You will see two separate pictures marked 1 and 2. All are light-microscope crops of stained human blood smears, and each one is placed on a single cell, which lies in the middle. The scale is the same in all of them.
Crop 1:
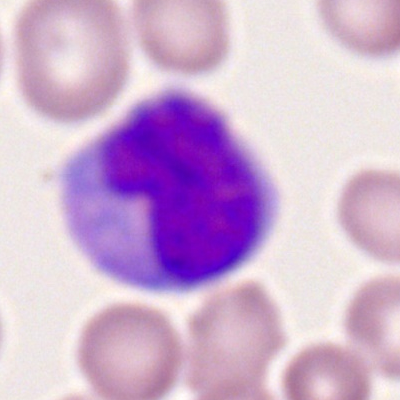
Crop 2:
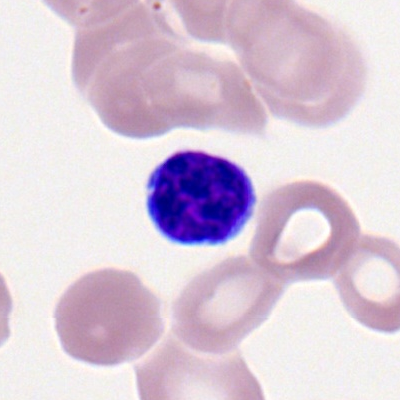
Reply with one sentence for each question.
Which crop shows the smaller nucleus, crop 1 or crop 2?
It is the nucleus in crop 2; the one in crop 1 has about 2.5 times its area.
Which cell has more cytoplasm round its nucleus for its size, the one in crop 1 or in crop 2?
Of the two, the nucleus in crop 1 leaves more room for cytoplasm.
